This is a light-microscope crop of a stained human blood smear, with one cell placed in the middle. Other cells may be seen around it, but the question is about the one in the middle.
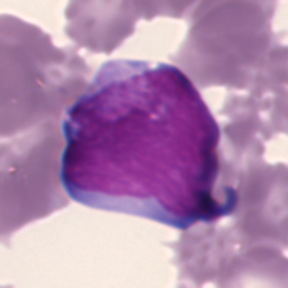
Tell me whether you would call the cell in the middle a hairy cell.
no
